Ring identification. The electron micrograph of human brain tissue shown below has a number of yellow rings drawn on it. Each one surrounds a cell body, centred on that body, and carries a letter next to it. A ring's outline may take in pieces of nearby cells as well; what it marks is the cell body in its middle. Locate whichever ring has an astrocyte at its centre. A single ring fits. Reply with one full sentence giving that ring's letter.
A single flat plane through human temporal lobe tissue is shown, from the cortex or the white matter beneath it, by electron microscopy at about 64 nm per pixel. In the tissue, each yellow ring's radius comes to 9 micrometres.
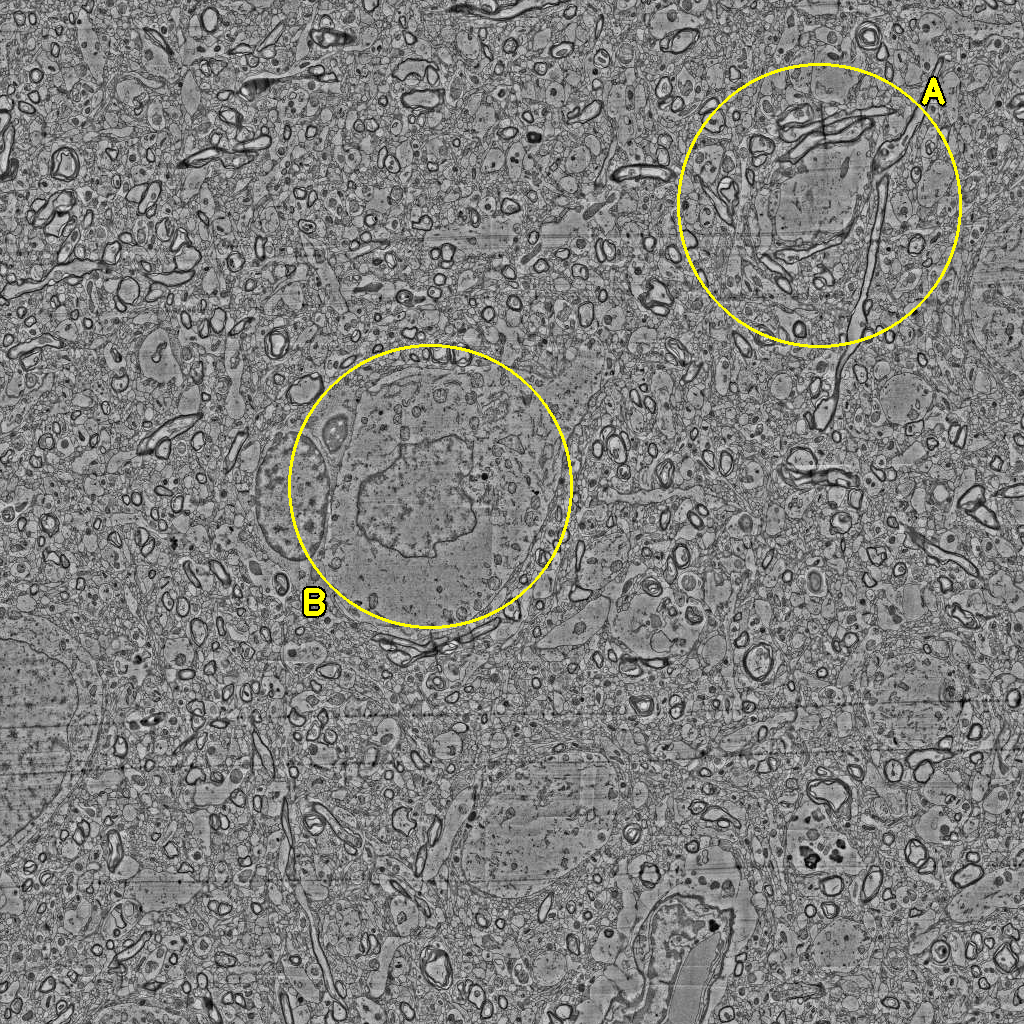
The letter A belongs to the ring centred on a cell of that kind.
